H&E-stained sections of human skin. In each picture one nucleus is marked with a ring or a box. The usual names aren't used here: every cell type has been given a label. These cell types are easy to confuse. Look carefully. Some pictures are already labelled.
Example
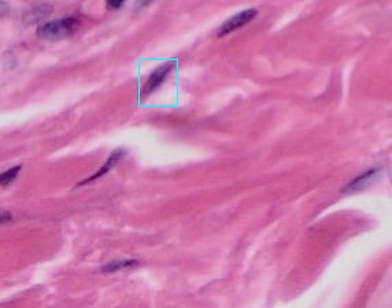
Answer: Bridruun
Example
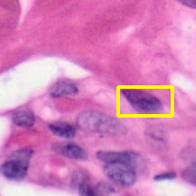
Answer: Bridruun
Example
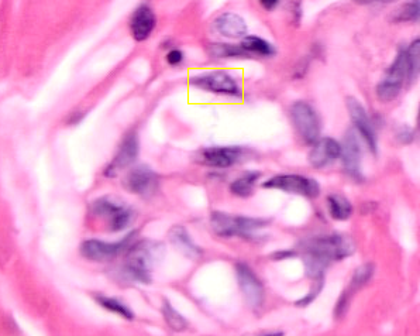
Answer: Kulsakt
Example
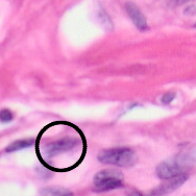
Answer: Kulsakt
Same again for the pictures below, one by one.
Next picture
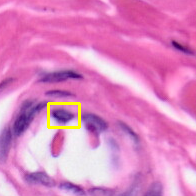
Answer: Kulsakt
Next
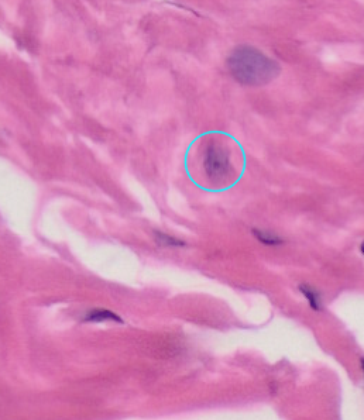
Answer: Bridruun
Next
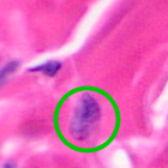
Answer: Bridruun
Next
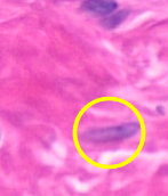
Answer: Bridruun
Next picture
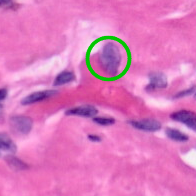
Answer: Kulsakt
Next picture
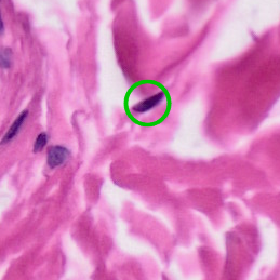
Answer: Bridruun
